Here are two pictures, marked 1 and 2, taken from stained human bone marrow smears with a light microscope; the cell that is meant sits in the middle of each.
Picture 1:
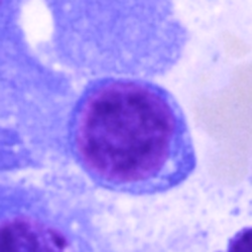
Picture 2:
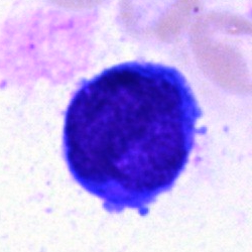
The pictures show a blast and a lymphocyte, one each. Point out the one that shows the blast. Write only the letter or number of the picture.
2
